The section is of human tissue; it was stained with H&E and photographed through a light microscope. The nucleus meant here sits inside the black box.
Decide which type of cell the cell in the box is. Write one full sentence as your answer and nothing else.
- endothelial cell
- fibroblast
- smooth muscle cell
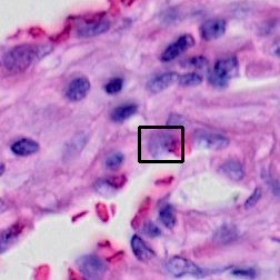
The cell type represented by the cell in the box is that of an endothelial cell.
